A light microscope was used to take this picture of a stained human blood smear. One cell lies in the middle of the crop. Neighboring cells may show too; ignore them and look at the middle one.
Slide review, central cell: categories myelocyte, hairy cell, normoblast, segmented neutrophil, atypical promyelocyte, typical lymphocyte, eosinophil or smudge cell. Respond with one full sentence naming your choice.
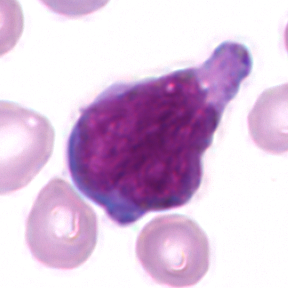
Framed in the middle of the crop is an atypical promyelocyte.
